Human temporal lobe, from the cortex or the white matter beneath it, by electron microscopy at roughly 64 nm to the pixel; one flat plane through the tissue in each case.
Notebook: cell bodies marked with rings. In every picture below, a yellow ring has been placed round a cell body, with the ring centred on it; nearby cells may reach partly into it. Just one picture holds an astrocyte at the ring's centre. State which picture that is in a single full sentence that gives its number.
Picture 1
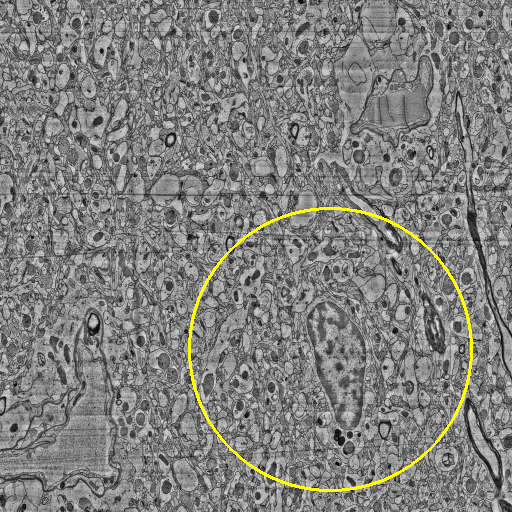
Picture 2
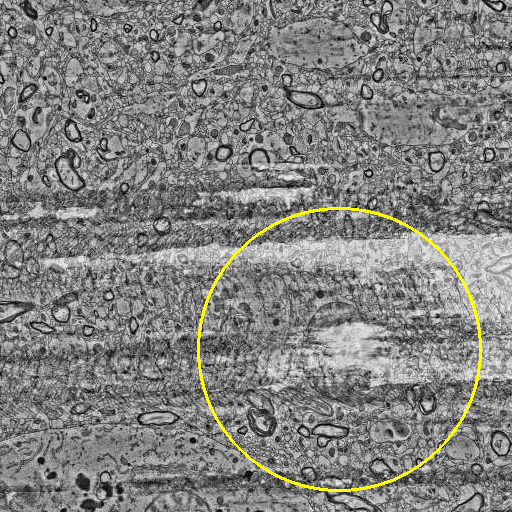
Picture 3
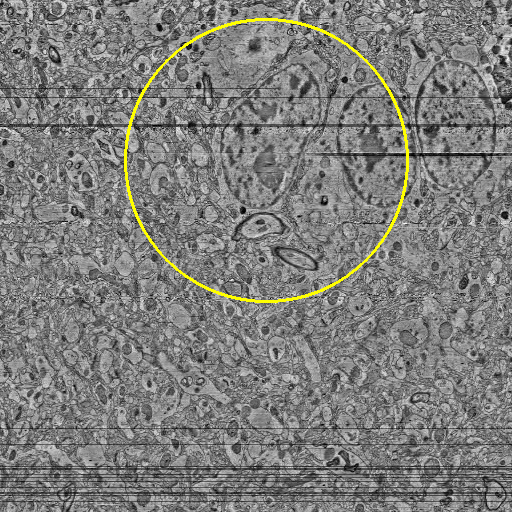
It is picture 3 whose ring has the wanted cell right at its centre.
